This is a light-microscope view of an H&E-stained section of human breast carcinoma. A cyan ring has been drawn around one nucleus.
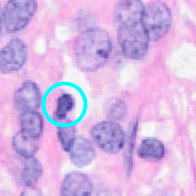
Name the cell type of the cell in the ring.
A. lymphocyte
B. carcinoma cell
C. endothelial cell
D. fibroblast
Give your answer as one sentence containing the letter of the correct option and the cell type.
Of the options given, A is right: the cell in the ring is a lymphocyte.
